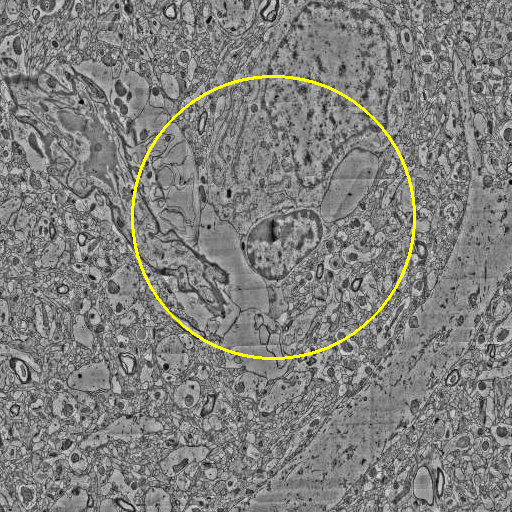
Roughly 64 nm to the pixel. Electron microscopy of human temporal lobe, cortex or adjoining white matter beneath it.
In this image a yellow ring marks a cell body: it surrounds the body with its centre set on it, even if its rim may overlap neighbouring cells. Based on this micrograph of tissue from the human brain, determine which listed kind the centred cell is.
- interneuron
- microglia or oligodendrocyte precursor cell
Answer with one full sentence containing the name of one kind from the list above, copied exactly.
It is a microglial cell or oligodendrocyte precursor cell whose body the yellow ring encloses at its centre.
